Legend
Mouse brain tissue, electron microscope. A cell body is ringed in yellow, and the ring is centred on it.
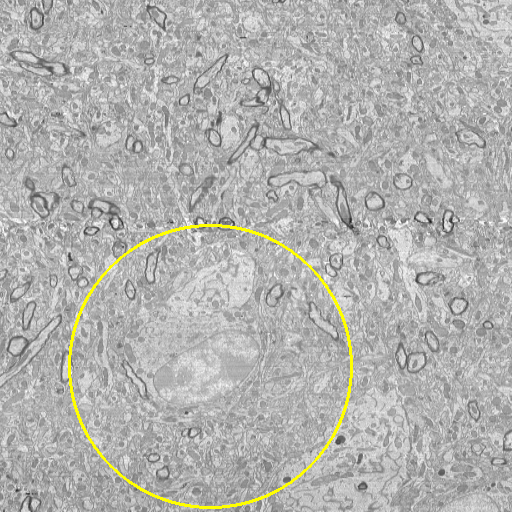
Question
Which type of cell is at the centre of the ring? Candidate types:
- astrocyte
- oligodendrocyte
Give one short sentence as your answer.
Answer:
The yellow ring is centred here on an oligodendrocyte.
